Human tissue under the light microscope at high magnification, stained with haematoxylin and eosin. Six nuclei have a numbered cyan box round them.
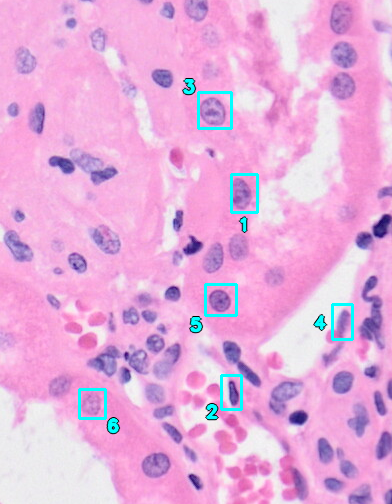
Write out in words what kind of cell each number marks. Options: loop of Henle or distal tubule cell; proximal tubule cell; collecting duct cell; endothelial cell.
Cell 1 is a proximal tubule cell, cell 2 is an endothelial cell, cell 3 is a proximal tubule cell, cell 4 is an endothelial cell, cell 5 is a proximal tubule cell and cell 6 is a proximal tubule cell.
